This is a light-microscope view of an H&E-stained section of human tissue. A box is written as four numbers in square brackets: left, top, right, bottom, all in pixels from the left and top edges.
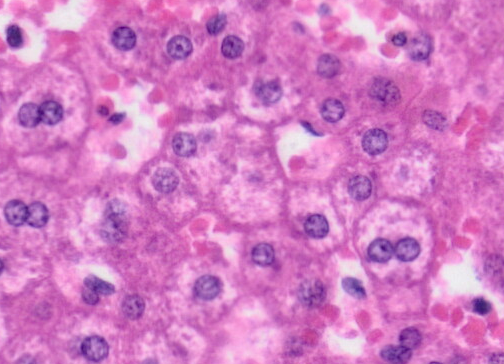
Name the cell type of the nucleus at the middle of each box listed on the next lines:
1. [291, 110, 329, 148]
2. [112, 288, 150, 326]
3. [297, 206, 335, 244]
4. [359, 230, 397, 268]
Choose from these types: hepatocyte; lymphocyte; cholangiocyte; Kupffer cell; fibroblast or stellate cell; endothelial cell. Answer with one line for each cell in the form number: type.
1: endothelial cell
2: hepatocyte
3: hepatocyte
4: hepatocyte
